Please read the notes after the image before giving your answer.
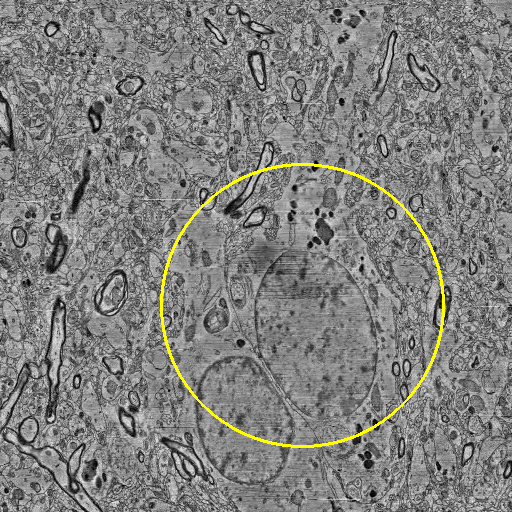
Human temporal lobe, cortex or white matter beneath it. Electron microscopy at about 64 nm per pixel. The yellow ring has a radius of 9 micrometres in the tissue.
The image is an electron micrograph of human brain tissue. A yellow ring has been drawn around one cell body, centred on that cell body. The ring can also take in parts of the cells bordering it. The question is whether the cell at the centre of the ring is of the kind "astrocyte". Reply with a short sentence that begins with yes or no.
Yes, the cell at the centre is of that kind.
